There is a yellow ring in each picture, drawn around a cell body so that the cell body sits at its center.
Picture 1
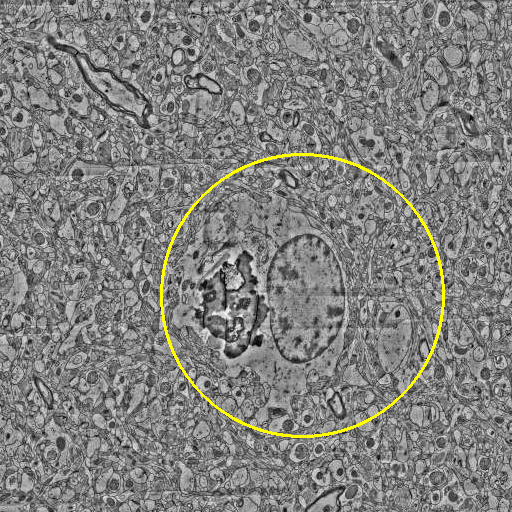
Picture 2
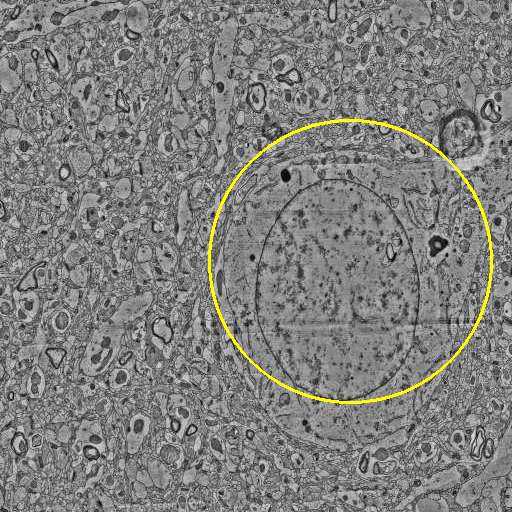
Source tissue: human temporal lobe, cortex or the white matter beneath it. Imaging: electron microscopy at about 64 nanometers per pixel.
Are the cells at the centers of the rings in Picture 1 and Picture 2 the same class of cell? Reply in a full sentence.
No, the two cells are two classes of cell.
